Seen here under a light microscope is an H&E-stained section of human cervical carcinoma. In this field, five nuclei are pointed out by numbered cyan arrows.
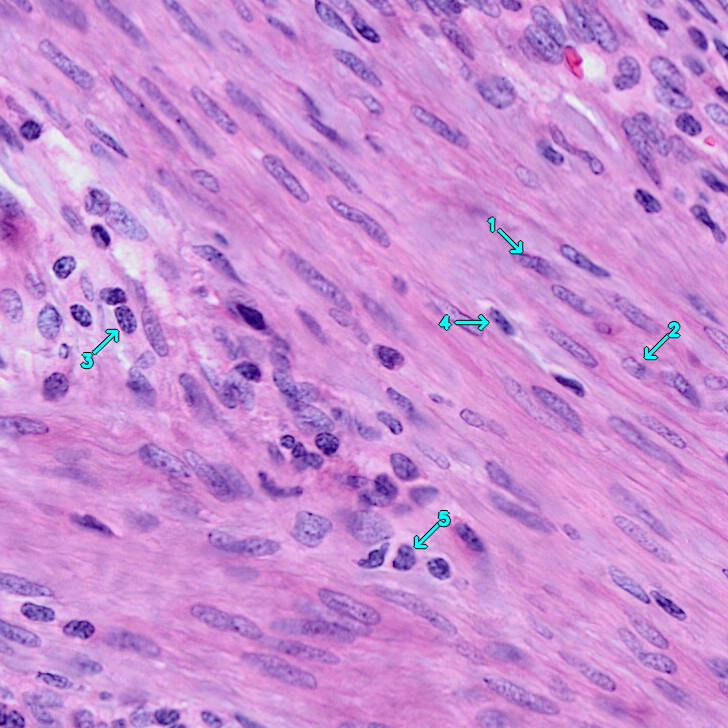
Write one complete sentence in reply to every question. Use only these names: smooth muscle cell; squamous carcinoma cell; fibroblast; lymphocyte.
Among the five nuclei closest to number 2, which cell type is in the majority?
Smooth muscle cells make up most of the five nuclei closest to number 2.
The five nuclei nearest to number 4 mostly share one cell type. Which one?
The majority of the five nuclei closest to number 4 belong to smooth muscle cells.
